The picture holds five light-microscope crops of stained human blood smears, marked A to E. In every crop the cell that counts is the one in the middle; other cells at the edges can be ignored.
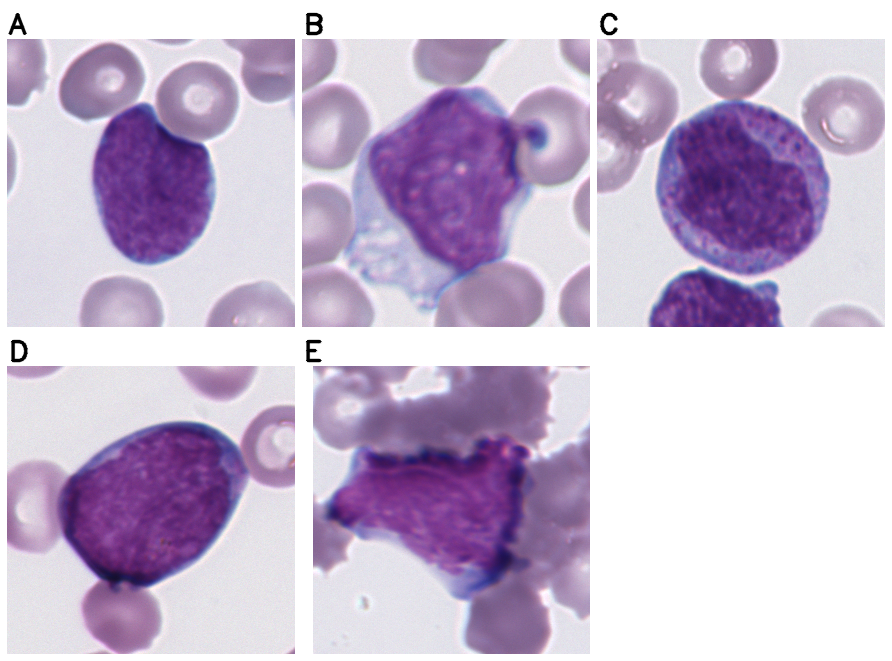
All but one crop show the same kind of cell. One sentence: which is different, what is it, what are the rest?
Crop C is an atypical promyelocyte, the one exception to the myeloblasts of the other crops.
